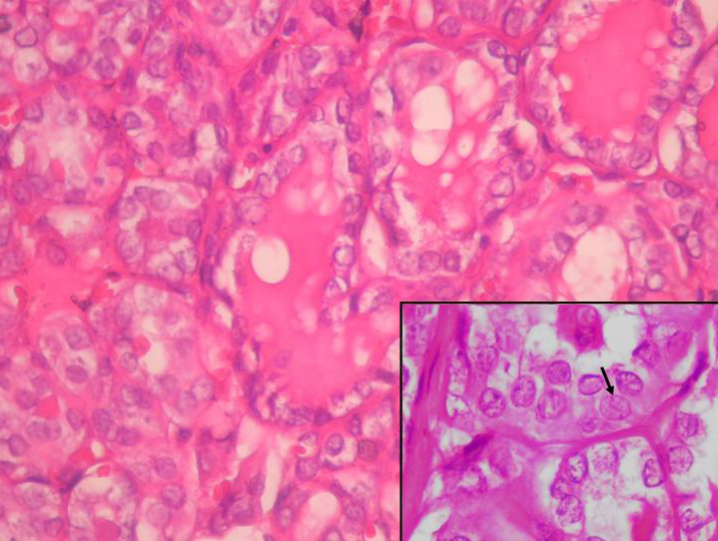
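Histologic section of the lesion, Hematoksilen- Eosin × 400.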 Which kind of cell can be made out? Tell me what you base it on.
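Cells are arranged in rings around rounded spaces. The spaces hold pink homogeneous material with clear vacuoles. The answer: Follicular epithelium cells.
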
